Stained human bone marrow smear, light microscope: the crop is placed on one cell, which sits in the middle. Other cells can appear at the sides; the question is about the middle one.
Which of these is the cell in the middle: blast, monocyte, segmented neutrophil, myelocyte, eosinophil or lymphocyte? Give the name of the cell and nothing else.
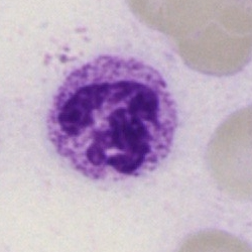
segmented neutrophil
